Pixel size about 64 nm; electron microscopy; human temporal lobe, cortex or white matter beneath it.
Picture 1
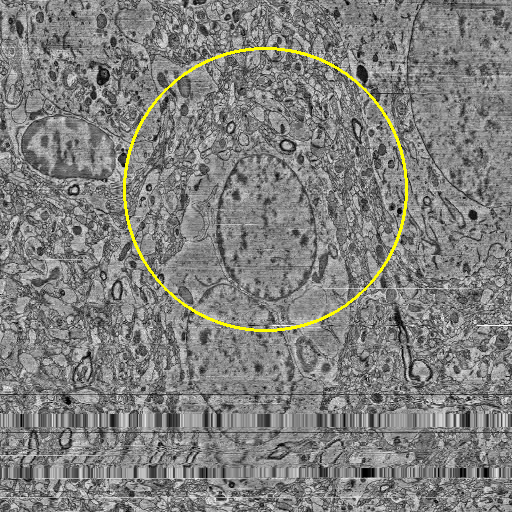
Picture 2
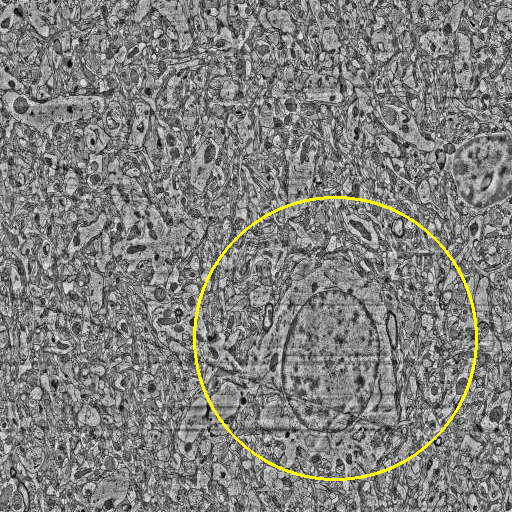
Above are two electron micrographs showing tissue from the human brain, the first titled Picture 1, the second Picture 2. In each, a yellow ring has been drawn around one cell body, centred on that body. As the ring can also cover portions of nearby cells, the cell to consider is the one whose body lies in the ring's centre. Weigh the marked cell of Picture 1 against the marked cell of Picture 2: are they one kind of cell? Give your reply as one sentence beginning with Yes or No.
Yes, the two cells sitting at the ring centres in the pictures are of one kind.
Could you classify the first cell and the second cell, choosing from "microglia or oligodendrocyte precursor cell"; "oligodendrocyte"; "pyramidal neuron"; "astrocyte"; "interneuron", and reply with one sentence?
In each picture the ringed cell is an astrocyte.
